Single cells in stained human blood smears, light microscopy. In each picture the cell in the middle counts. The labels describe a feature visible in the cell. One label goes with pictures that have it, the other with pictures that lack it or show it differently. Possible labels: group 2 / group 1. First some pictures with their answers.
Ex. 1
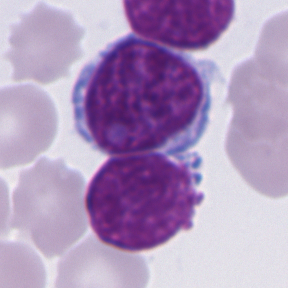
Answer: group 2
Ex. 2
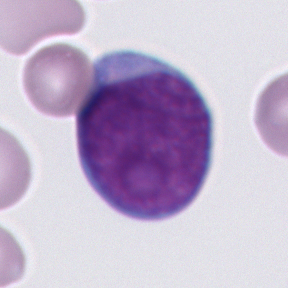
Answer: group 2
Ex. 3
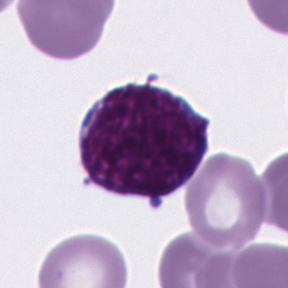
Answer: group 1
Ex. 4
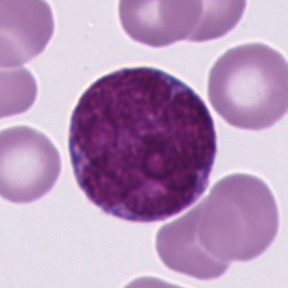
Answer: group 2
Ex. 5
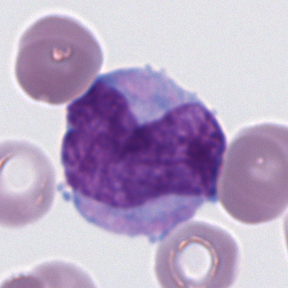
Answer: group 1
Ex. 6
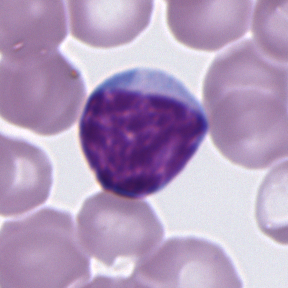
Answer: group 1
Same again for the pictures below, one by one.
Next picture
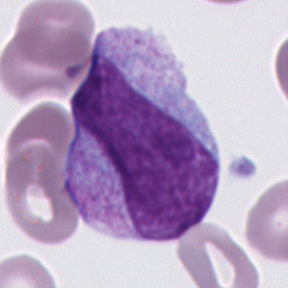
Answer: group 1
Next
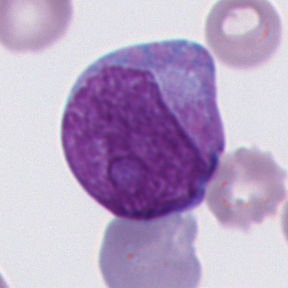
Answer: group 2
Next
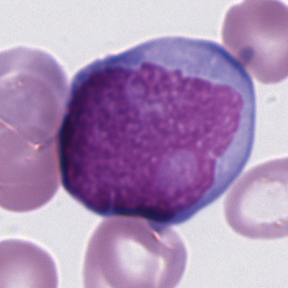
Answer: group 2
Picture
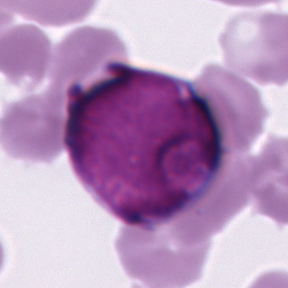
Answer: group 2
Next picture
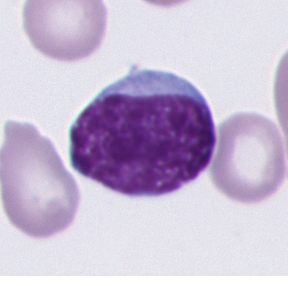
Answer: group 1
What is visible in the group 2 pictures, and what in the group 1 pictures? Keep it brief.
In group 2: nucleolus visible. In group 1: no visible nucleolus.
